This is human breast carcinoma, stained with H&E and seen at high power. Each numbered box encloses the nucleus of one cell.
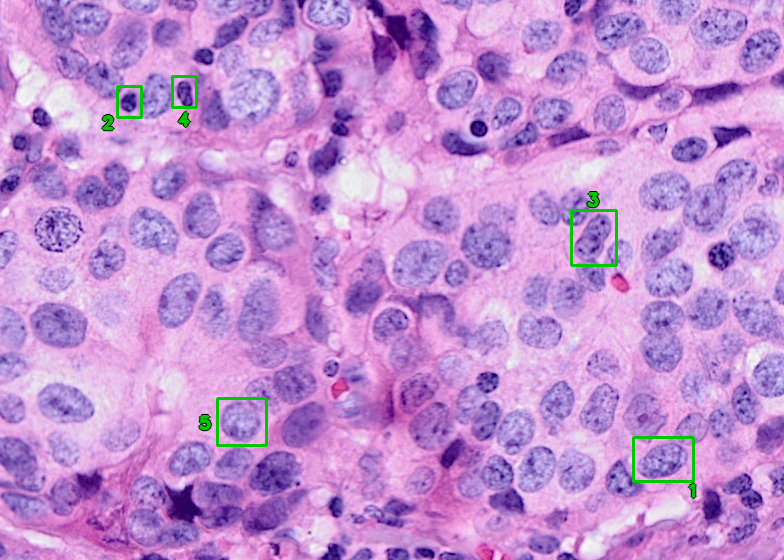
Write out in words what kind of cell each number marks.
Cells 1, 3 and 5 are carcinoma cells. Cells 2 and 4 are lymphocytes.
